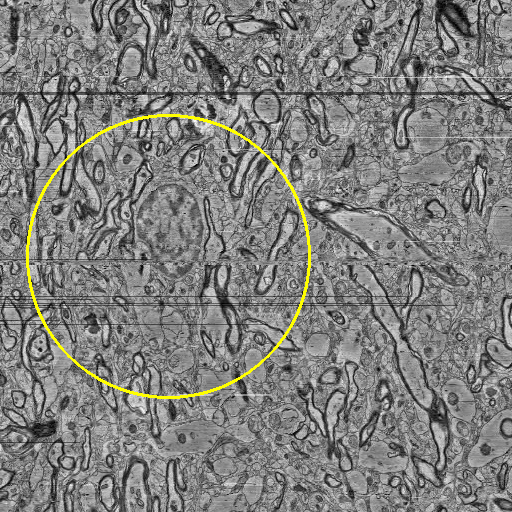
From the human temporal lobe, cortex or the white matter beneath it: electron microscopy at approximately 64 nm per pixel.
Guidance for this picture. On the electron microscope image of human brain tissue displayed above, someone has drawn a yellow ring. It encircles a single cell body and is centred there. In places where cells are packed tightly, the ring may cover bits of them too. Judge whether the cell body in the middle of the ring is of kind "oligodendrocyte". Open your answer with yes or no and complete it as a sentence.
Yes, that kind matches the cell whose body lies at the ring's centre in the image above.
